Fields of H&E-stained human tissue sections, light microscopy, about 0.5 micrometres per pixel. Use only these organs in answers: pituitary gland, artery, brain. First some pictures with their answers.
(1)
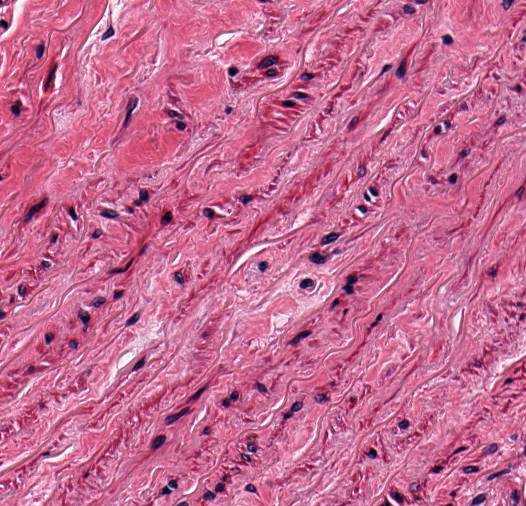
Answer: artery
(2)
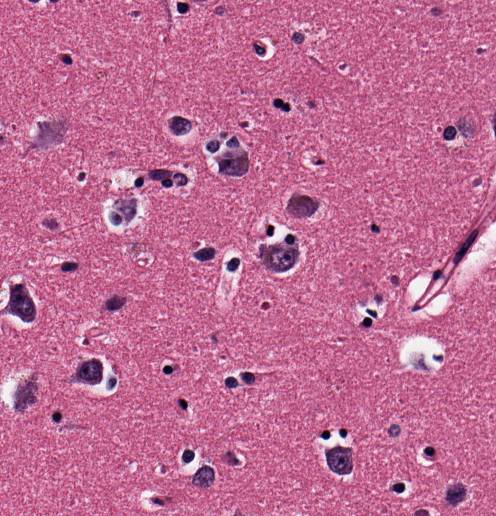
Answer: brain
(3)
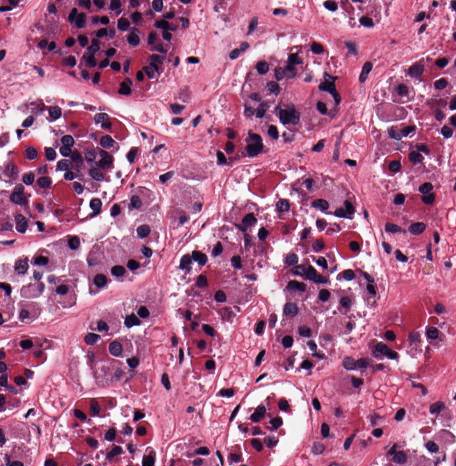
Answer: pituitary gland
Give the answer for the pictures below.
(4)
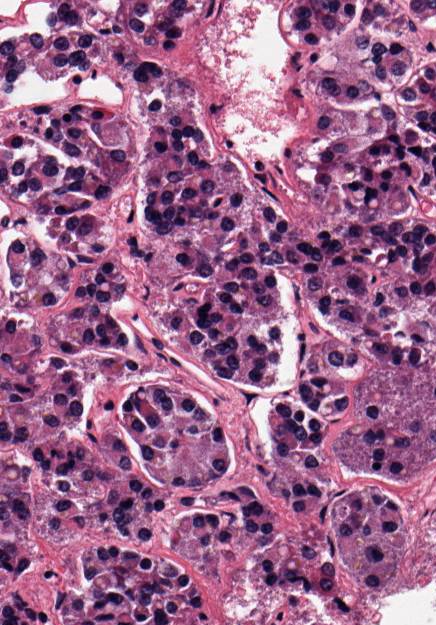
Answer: pituitary gland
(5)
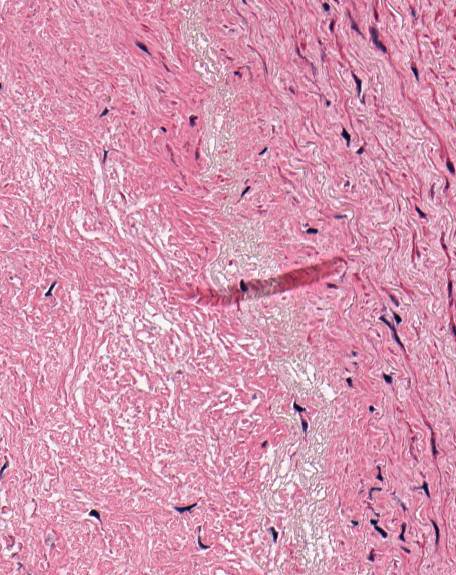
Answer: artery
